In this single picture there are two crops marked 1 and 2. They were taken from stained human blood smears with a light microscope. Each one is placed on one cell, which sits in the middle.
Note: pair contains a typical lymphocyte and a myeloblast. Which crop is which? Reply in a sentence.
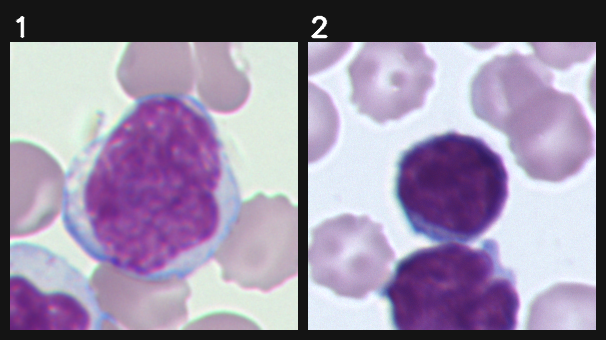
Crop 1 is a myeloblast, with crop 2 being a typical lymphocyte.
